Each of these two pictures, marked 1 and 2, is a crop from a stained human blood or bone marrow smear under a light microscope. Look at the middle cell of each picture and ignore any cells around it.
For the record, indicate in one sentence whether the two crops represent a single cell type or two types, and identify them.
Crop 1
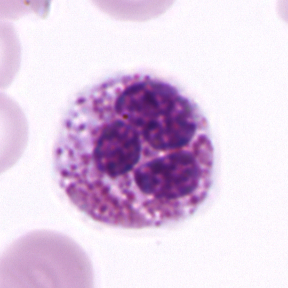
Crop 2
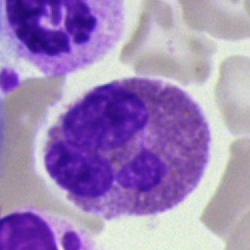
Yes, both of the crops show eosinophils.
